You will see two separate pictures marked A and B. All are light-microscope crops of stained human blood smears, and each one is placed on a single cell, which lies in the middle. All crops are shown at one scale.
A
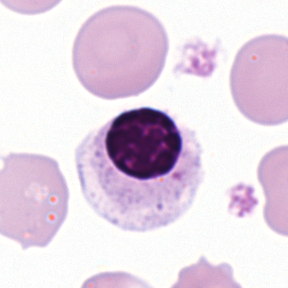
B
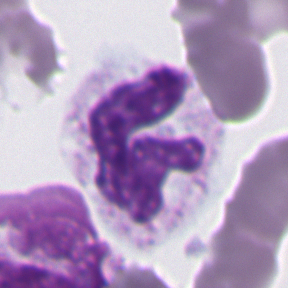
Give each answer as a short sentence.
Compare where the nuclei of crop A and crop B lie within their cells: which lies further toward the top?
Seen within its cell, the nucleus in crop A lies further toward the top.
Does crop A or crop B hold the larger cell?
Crop B holds the larger cell; it covers about 1.5 times the area of the cell in crop A.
